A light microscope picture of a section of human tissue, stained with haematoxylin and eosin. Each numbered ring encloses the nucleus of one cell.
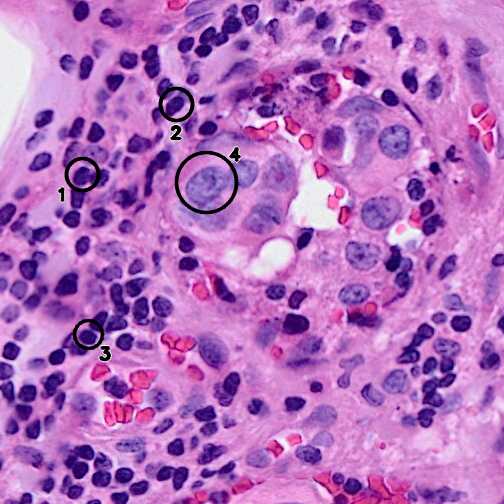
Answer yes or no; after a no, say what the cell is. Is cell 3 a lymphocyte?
Yes.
